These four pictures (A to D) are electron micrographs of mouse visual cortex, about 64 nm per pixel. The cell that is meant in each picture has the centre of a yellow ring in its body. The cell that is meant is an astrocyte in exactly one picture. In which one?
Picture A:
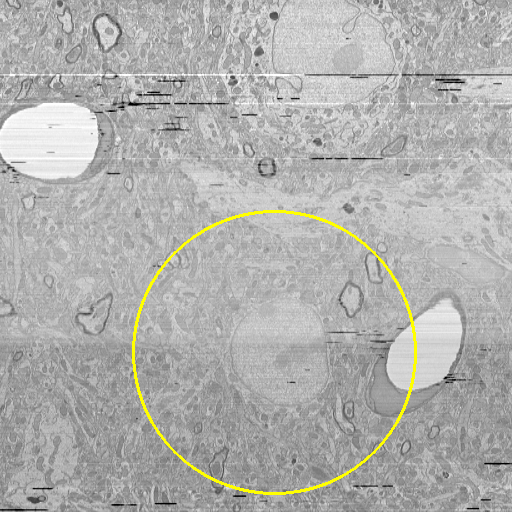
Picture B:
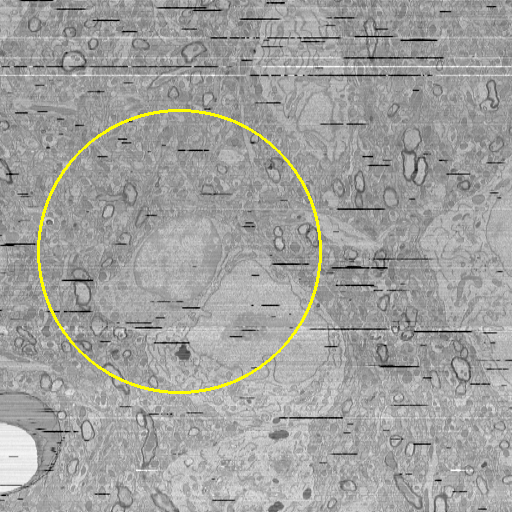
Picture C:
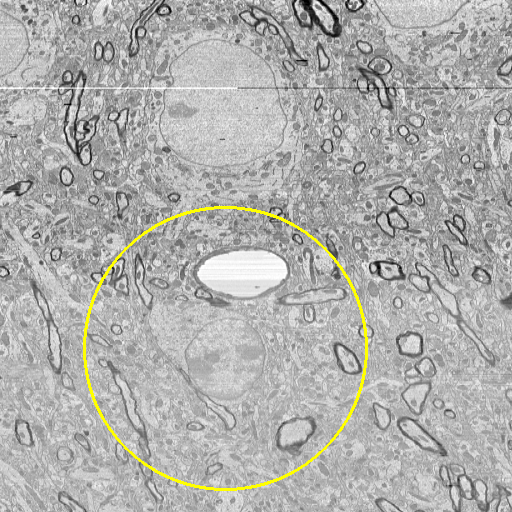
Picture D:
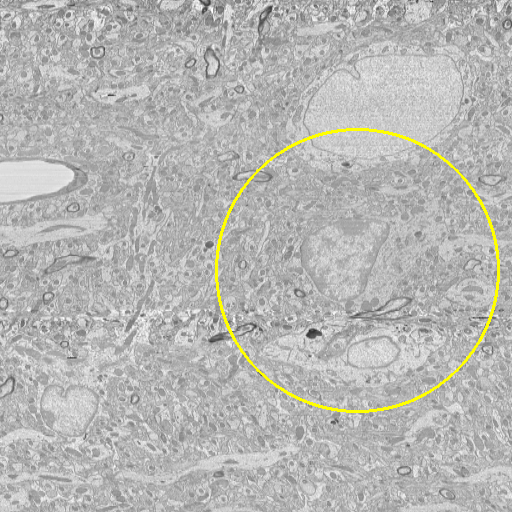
It is picture A that shows the astrocyte.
